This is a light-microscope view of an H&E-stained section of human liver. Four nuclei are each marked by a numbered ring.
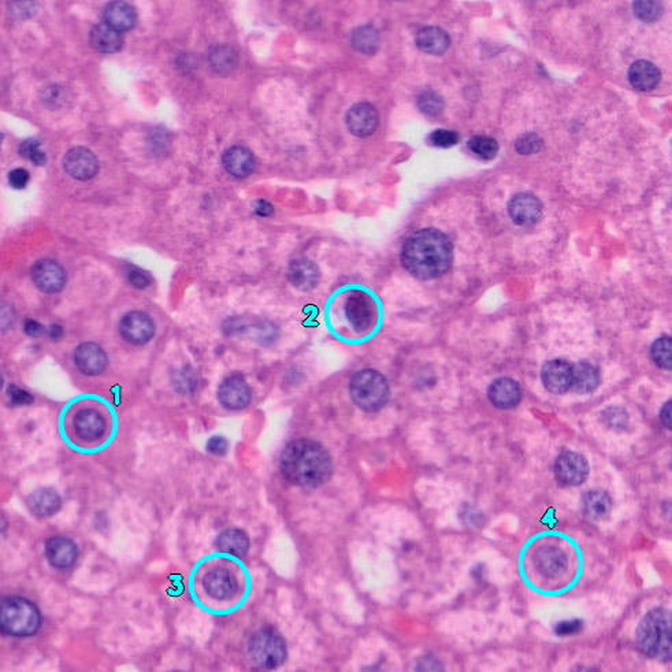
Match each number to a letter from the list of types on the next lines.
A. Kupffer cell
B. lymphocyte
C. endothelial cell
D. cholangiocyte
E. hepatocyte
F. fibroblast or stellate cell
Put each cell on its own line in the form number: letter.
1: E
2: C
3: E
4: E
